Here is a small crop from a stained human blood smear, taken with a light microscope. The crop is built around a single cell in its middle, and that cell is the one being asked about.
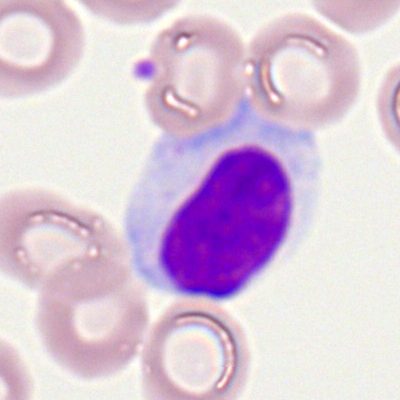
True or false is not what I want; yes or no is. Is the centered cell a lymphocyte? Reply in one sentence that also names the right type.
Yes, a lymphocyte is the cell positioned in the middle of the field.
